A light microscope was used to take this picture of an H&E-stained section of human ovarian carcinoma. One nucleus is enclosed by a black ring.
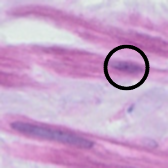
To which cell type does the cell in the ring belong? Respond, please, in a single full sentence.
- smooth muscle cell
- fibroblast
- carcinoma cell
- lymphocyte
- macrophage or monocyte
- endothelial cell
The category to which the cell in the ring belongs is that of a smooth muscle cell.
